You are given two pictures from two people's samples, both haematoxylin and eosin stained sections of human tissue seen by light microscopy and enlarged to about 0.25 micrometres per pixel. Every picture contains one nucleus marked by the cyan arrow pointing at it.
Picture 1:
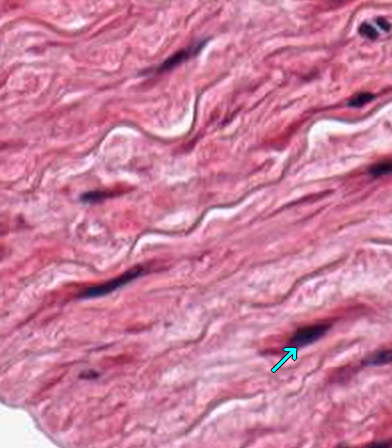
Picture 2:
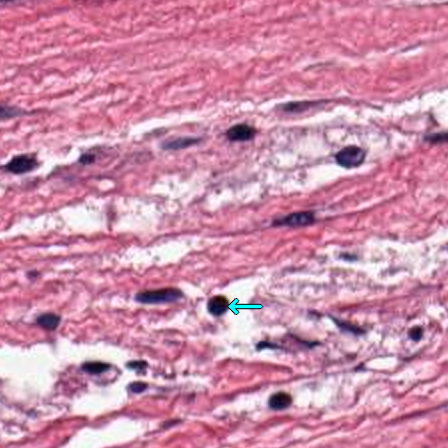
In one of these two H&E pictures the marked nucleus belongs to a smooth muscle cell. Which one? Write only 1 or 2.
1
